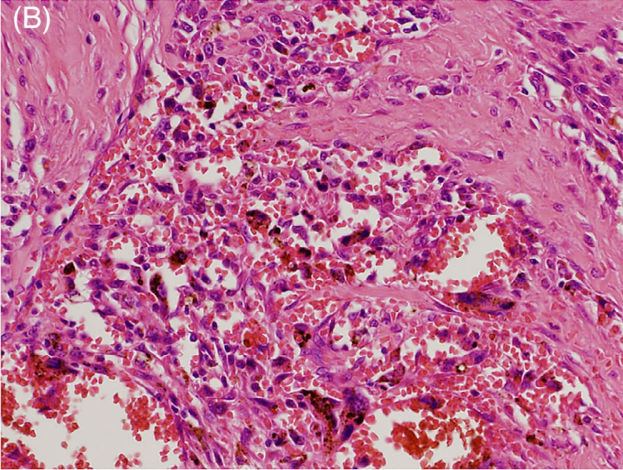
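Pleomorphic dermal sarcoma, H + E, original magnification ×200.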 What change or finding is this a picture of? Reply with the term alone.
Intratumoral haemorrhage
